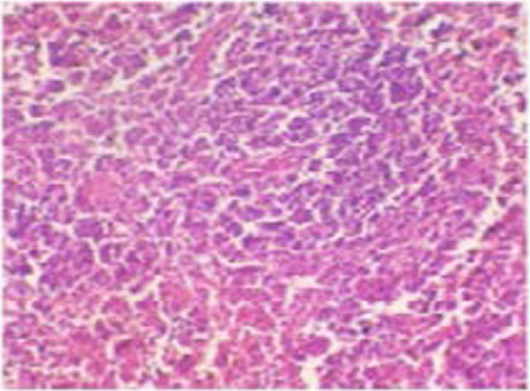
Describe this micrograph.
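Thin pale clefts run between the clusters, dividing the tissue into irregular lobule-like groups. Towards the middle the cells look more densely packed and darker, while at the edges the clefts widen a little. Individual cell outlines are hard to make out at this magnification and sharpness, so the picture is best read for the overall arrangement of the tissue.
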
